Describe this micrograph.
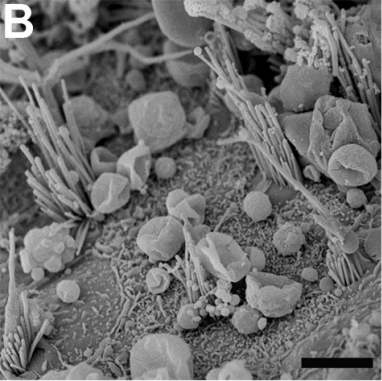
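This is the luminal surface of a sensory epithelium of the inner ear seen by scanning electron microscopy, with the hair bundles of hair cells and the surfaces of supporting cells between them. Between the bundles the surface is flatter and studded with short, fine projections like a carpet of small villi. Scattered over the surface lie rounded, smooth, ball-like bodies of varying size, some collapsed or folded. The bundles stand apart from one another, separated by these intervening flat surfaces.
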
